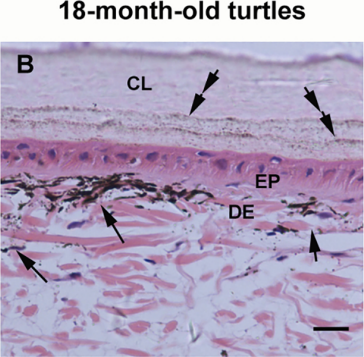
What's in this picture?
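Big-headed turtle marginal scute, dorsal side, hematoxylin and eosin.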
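A thick pale corneous layer sits above a bright pink epidermis of several cell rows with dark oval nuclei, and below lies a dermis of pink fibre bundles separated by pale spaces. The layers lie in clear order from the outer horny covering to the fibrous dermis.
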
